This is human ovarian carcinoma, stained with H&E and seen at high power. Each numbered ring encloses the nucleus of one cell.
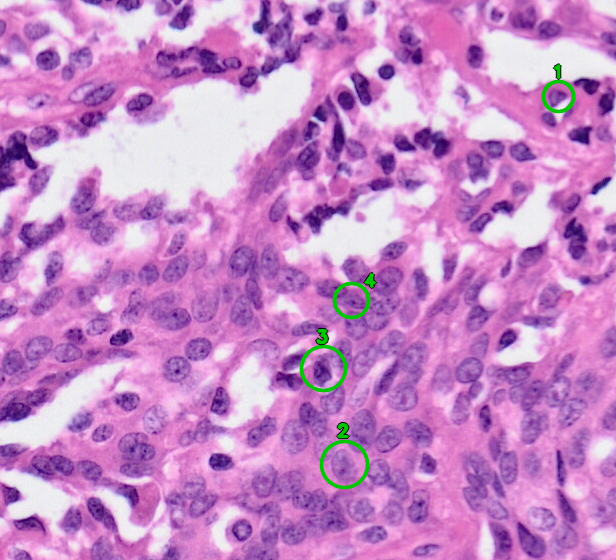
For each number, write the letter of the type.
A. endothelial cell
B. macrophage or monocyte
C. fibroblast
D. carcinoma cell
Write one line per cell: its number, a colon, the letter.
1: A
2: D
3: D
4: D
